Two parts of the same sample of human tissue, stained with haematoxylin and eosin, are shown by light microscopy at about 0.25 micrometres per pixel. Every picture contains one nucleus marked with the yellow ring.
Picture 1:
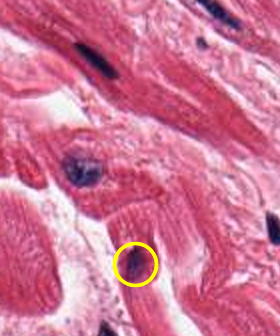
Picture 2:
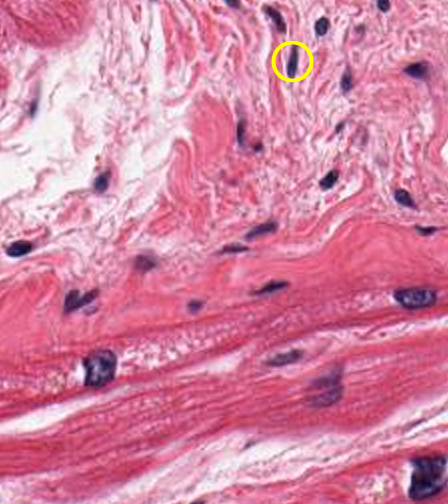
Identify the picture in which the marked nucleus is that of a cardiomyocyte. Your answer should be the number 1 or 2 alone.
1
